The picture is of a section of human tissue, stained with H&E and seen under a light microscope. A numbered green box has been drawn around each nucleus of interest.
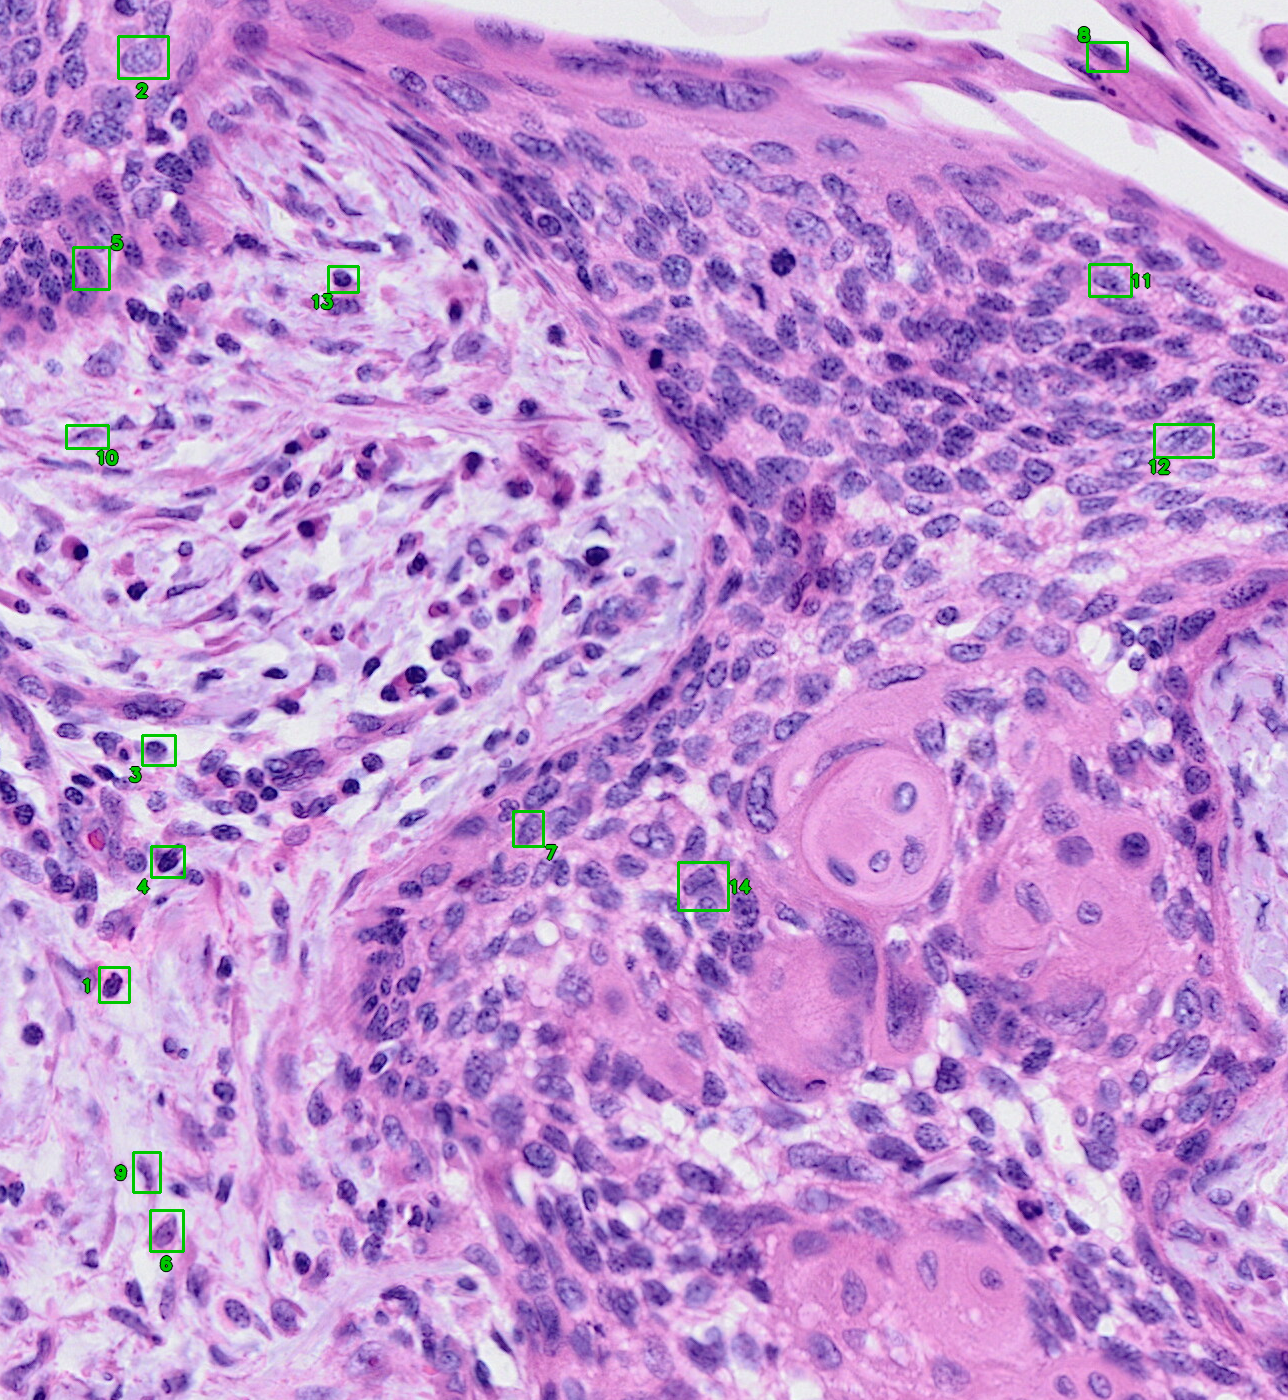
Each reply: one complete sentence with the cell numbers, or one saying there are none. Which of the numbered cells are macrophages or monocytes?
In this set of numbered cells, only cell 6 is a macrophage or monocyte.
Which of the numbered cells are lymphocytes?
The cells numbered 1, 3, 4 and 13 are identified as lymphocytes.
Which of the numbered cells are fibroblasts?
So, the cells with numbers 9 and 10 are fibroblasts.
